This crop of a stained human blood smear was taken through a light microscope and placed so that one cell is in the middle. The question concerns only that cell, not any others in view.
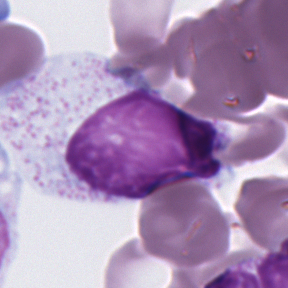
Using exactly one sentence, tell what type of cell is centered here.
The cell the crop is centered on is a myelocyte.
